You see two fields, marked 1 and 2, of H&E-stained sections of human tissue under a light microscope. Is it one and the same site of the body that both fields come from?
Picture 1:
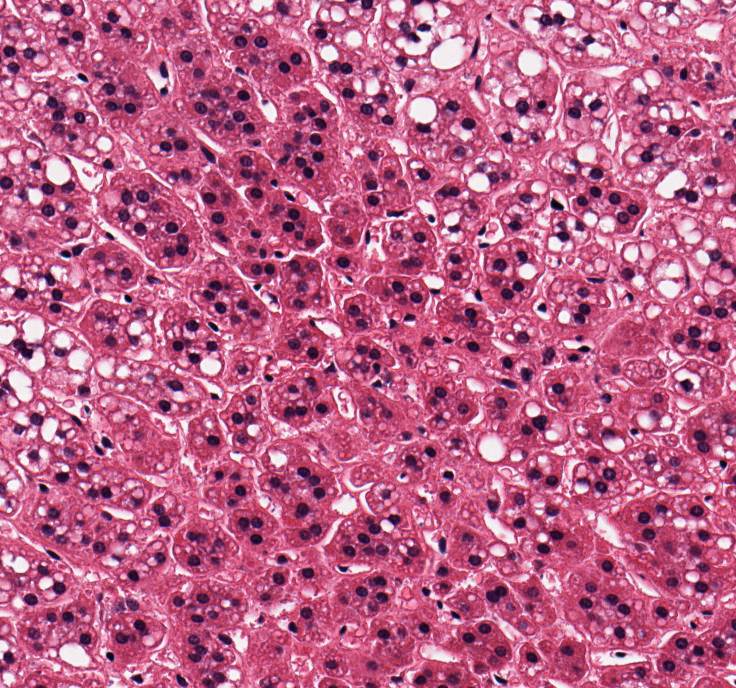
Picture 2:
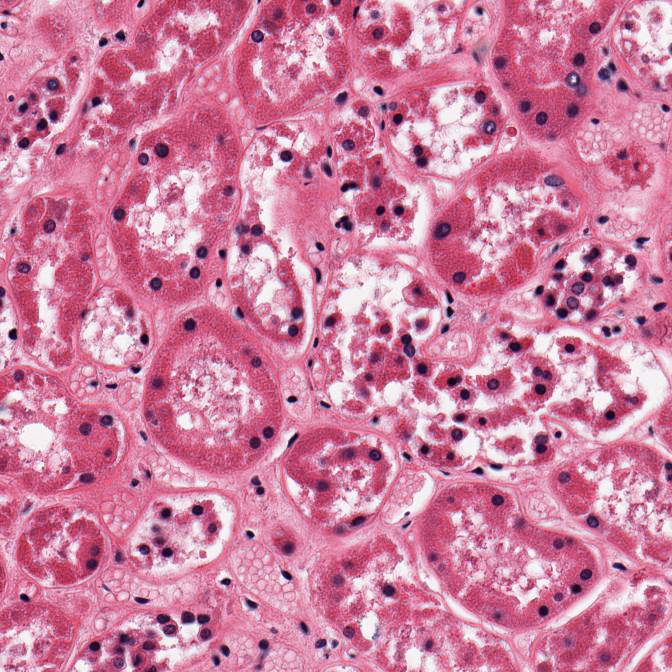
no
